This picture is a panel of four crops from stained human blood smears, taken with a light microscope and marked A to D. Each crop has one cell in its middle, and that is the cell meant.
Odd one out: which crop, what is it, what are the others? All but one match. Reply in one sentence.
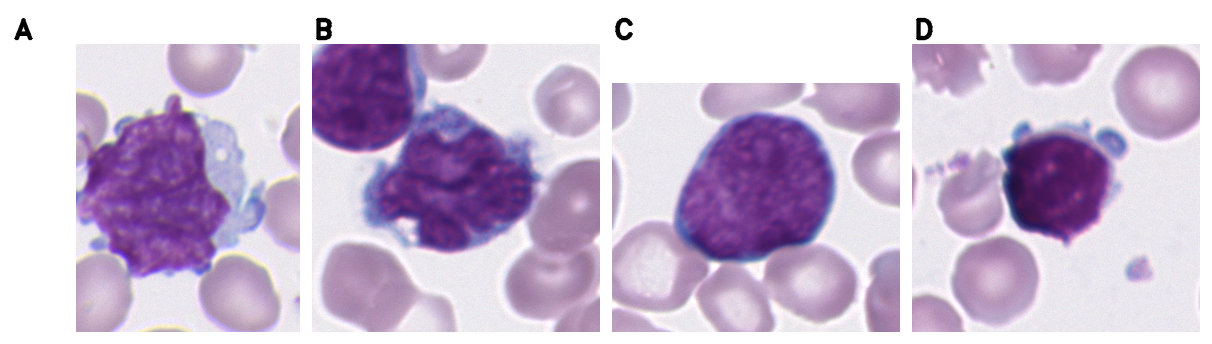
Among the crops, crop D is unique in showing a lymphocyte; the others show blasts.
